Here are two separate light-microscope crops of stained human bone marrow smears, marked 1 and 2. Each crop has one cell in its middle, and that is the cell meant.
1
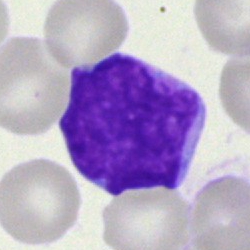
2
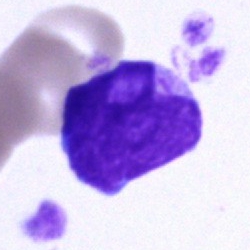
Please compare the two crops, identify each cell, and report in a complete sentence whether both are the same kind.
Yes, that is right, both crops show blasts.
